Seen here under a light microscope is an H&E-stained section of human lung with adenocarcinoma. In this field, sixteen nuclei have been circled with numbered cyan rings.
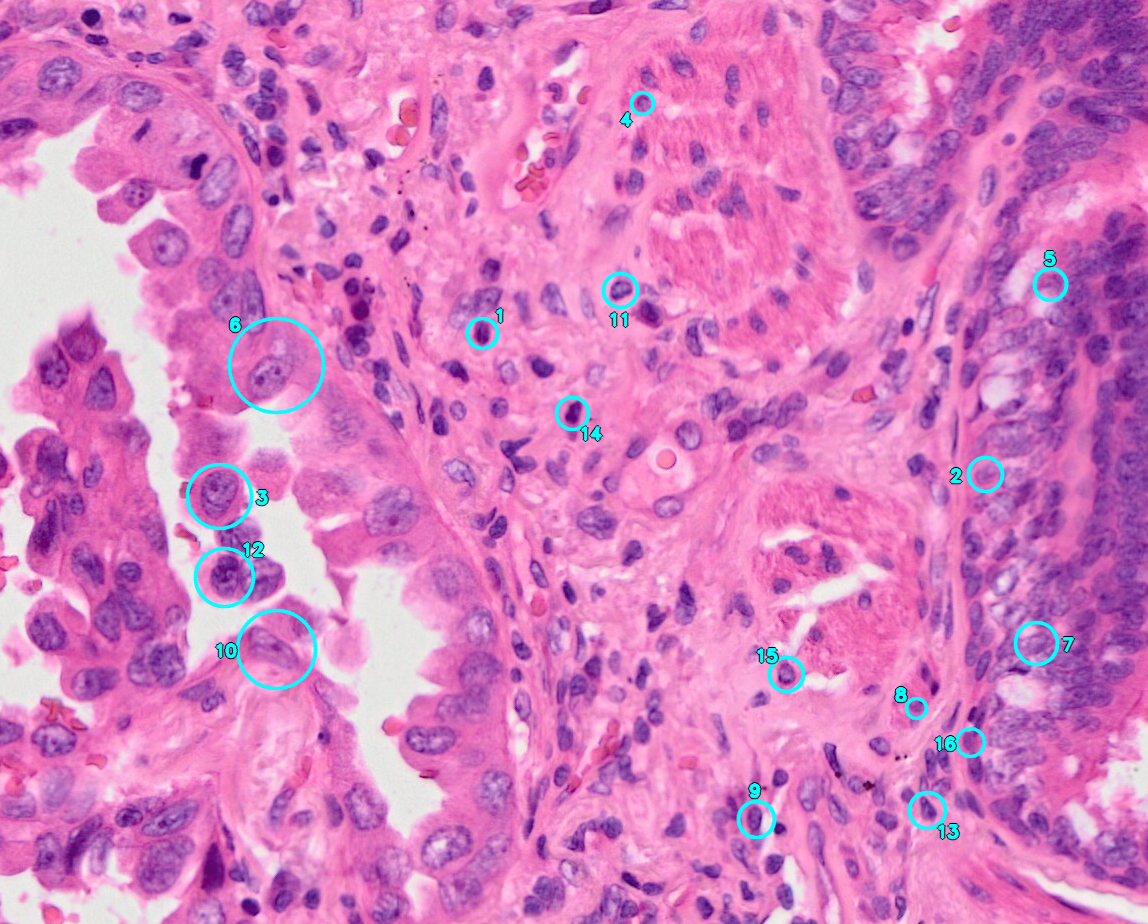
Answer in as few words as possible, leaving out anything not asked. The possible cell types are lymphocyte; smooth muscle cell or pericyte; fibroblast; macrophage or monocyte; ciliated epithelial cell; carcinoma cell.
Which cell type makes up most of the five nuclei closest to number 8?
smooth muscle cell or pericyte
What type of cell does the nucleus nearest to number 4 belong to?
smooth muscle cell or pericyte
